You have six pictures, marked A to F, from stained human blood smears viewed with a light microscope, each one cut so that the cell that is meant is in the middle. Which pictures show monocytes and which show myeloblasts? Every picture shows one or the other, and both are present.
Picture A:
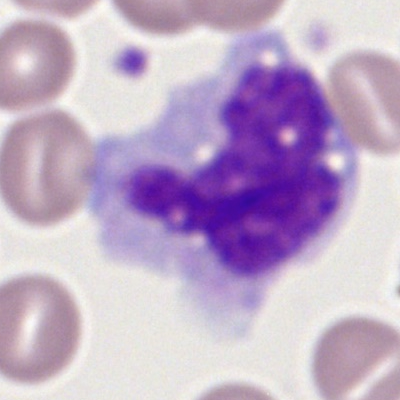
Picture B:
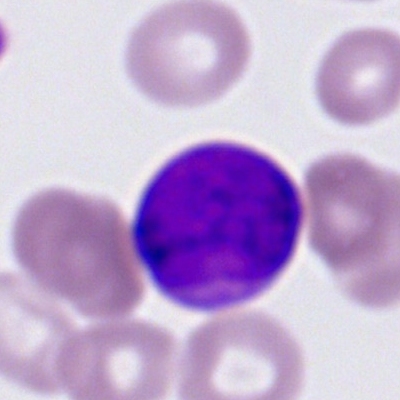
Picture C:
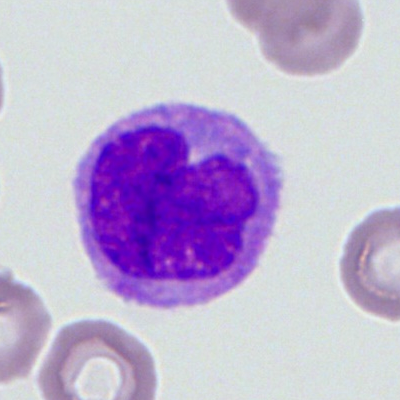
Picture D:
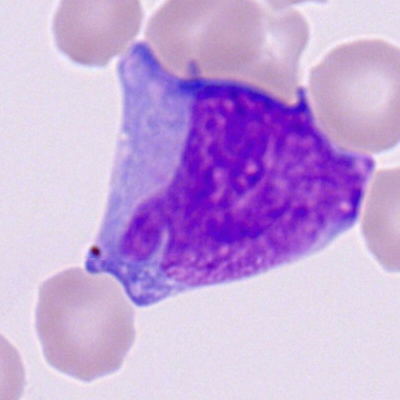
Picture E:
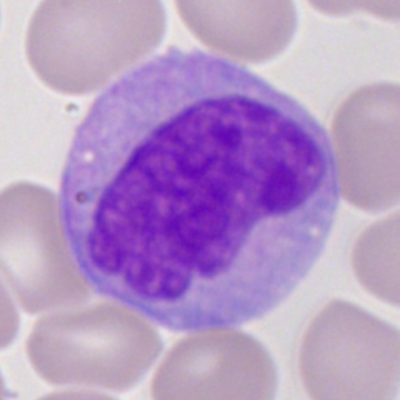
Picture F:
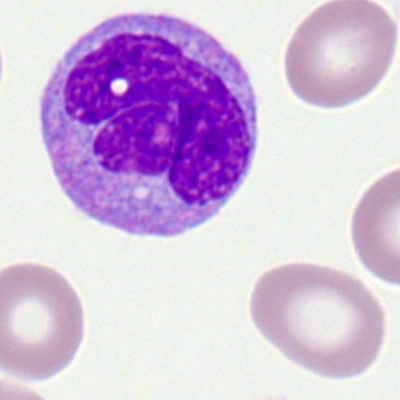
A: monocyte
B: myeloblast
C: monocyte
D: myeloblast
E: monocyte
F: monocyte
